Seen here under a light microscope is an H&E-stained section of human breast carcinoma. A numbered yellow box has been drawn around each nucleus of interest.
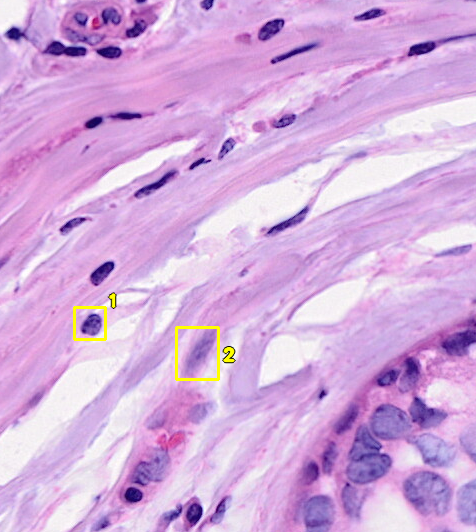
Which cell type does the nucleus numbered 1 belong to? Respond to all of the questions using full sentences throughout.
The cell given label 1 is a lymphocyte.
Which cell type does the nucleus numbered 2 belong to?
Here the cell numbered 2 is a fibroblast.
